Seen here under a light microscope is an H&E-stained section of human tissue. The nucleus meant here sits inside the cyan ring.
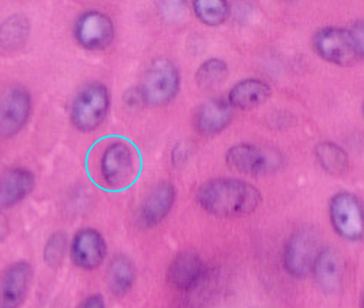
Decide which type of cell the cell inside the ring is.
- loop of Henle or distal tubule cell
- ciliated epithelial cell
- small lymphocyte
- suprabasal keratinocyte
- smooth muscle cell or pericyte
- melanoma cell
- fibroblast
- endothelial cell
suprabasal keratinocyte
